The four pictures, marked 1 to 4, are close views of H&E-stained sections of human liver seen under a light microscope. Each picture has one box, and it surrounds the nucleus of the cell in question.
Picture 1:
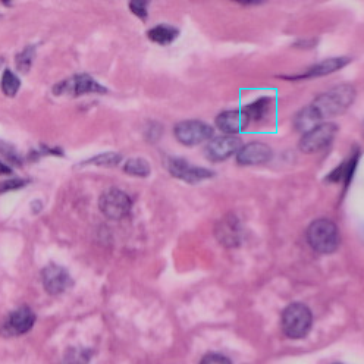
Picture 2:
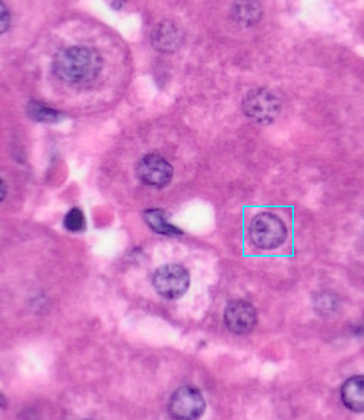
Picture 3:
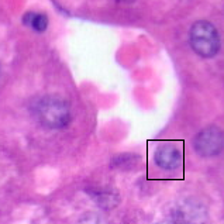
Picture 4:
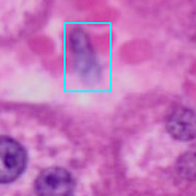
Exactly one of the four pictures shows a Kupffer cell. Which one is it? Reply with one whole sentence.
It is picture 4 that shows the Kupffer cell.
